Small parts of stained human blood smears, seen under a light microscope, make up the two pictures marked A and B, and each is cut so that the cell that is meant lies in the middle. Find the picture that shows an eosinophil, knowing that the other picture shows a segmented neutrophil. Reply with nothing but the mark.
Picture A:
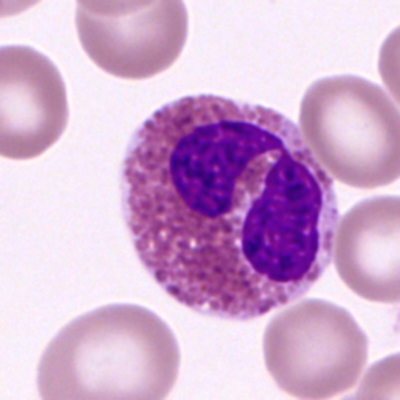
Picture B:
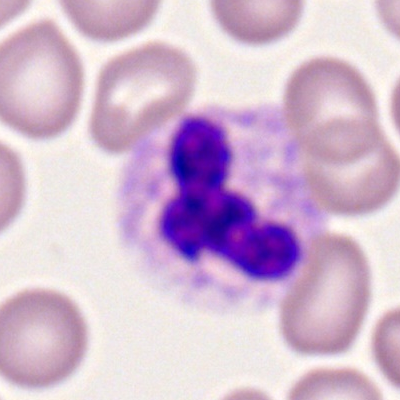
A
